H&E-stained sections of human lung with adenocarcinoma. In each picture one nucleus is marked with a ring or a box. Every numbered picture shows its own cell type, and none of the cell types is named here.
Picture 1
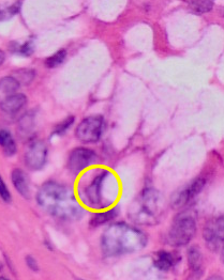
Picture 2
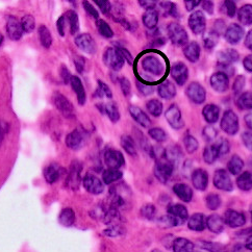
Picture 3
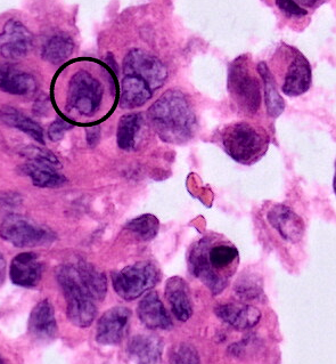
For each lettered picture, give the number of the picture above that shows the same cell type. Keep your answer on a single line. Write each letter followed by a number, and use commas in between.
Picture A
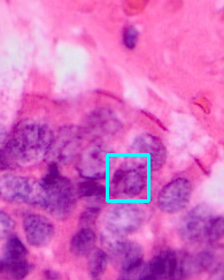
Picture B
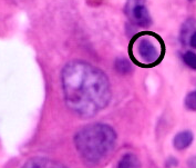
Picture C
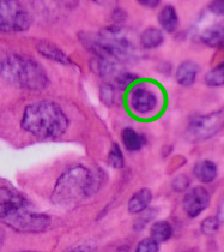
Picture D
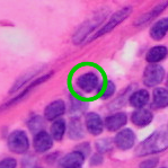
A 1, B 2, C 2, D 2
